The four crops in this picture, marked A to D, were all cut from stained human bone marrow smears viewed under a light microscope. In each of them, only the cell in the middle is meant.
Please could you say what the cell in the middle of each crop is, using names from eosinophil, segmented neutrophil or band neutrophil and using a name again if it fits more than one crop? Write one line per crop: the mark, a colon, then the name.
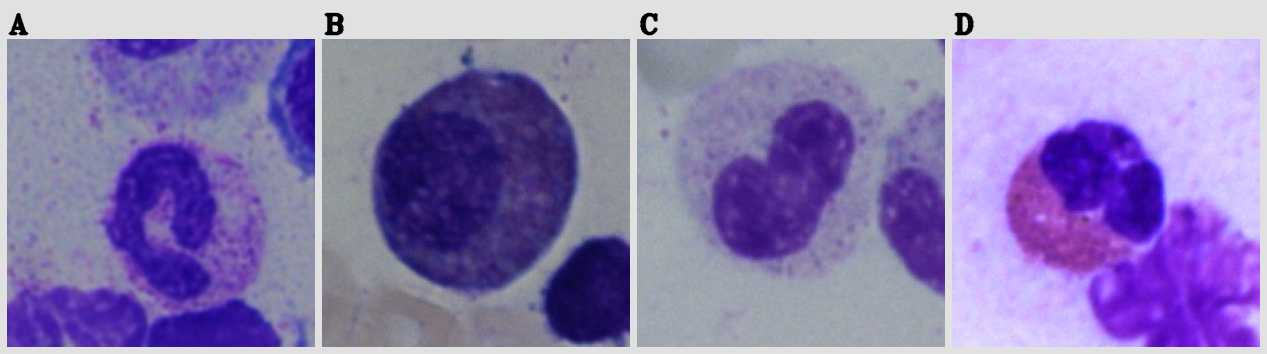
A: segmented neutrophil
B: eosinophil
C: band neutrophil
D: eosinophil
